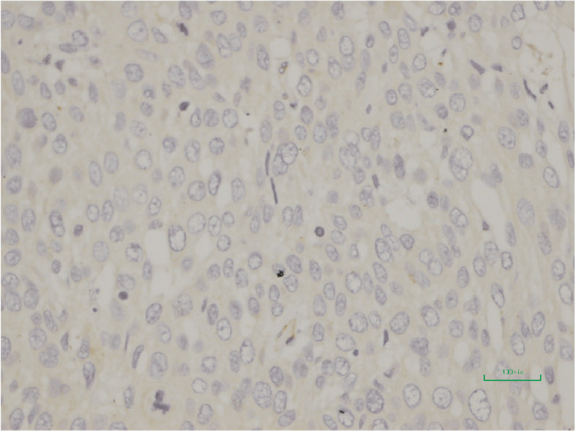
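Tumor tissue made of a solid sheet of densely packed tumor cells with little intervening stroma. The nuclei are round to oval, vesicular, with fine chromatin, distinct nuclear membranes and often one or more small nucleoli; they vary somewhat in size. The cytoplasm is pale and ill-defined, giving a greyish-beige background without distinct brown colour. Scattered small dark nuclei and a few thin, elongated spindle-shaped nuclei lie between the tumor cells, and a few small clear spaces interrupt the sheet.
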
